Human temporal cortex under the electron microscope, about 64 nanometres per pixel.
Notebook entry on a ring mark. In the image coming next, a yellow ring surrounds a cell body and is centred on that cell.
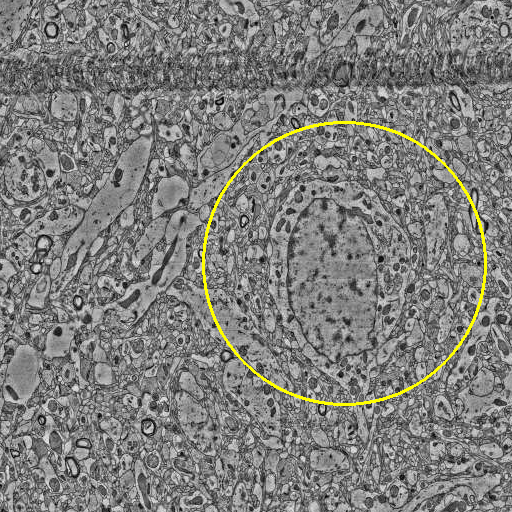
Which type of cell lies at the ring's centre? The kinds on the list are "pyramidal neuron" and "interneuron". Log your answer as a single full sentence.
Centred in the yellow ring is an interneuron, the cell recorded for this image.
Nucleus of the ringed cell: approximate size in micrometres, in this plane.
The nucleus is approximately 11 micrometers long by 6 micrometers wide in this plane.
